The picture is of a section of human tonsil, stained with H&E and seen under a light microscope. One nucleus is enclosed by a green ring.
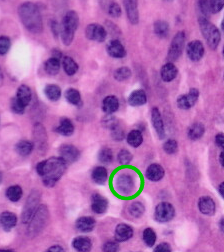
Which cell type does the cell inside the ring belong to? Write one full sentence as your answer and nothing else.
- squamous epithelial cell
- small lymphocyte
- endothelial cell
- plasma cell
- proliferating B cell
In this section, the cell inside the ring is a plasma cell.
